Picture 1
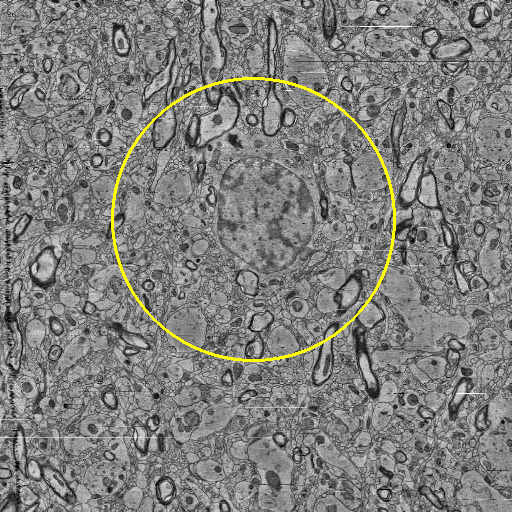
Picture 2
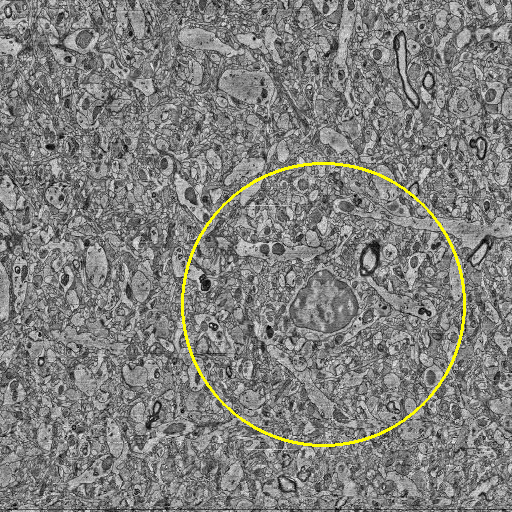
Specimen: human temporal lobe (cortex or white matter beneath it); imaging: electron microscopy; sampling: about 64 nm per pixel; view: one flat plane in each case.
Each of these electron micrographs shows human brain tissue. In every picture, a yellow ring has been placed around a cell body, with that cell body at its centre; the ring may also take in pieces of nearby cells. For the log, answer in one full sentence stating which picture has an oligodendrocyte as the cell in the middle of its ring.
In picture 1, the cell at the centre of the yellow ring is the requested one.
